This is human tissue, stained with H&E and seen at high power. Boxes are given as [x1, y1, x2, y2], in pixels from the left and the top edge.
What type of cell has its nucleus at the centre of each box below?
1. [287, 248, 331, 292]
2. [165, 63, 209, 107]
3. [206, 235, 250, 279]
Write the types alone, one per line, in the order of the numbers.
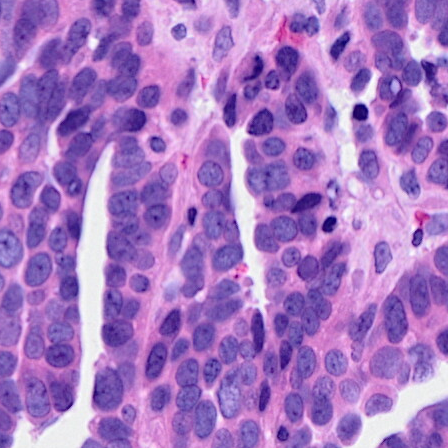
carcinoma cell
fibroblast
carcinoma cell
